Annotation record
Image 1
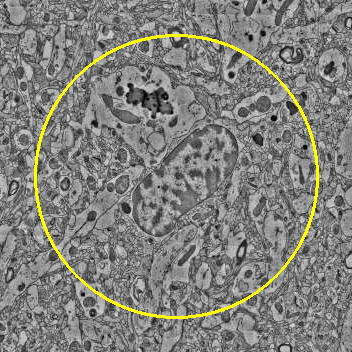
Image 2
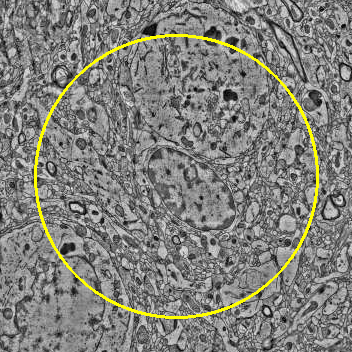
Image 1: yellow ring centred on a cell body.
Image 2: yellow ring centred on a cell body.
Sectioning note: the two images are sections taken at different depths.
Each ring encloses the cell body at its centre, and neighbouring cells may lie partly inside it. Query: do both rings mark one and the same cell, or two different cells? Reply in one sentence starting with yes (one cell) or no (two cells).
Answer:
No, these yellow rings each mark a separate cell.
